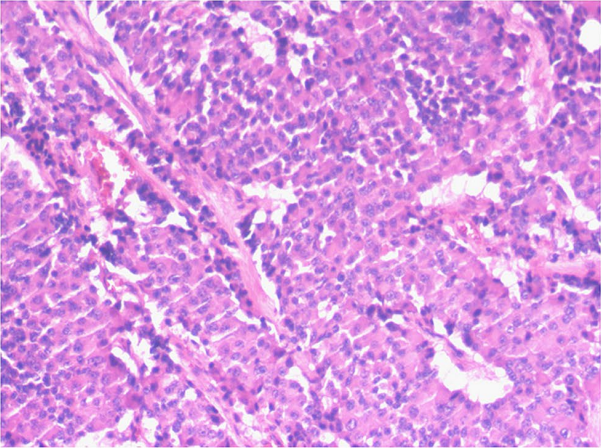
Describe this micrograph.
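This is a tumor made of sheets and nests of densely packed, rather uniform epithelial cells. The cells have round to oval, regular nuclei and a moderate amount of pink cytoplasm, and the groups are separated by thin pink fibrovascular strands carrying small vessels with red blood cells.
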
